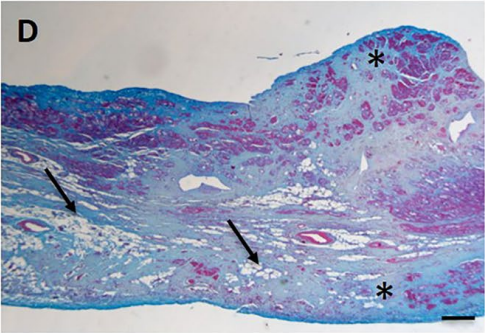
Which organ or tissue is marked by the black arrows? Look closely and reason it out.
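The arrows point to clusters of white, empty, rounded spaces. These spaces lie within the blue-stained wall between red islands. That points to this answer: Adipose tissue.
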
